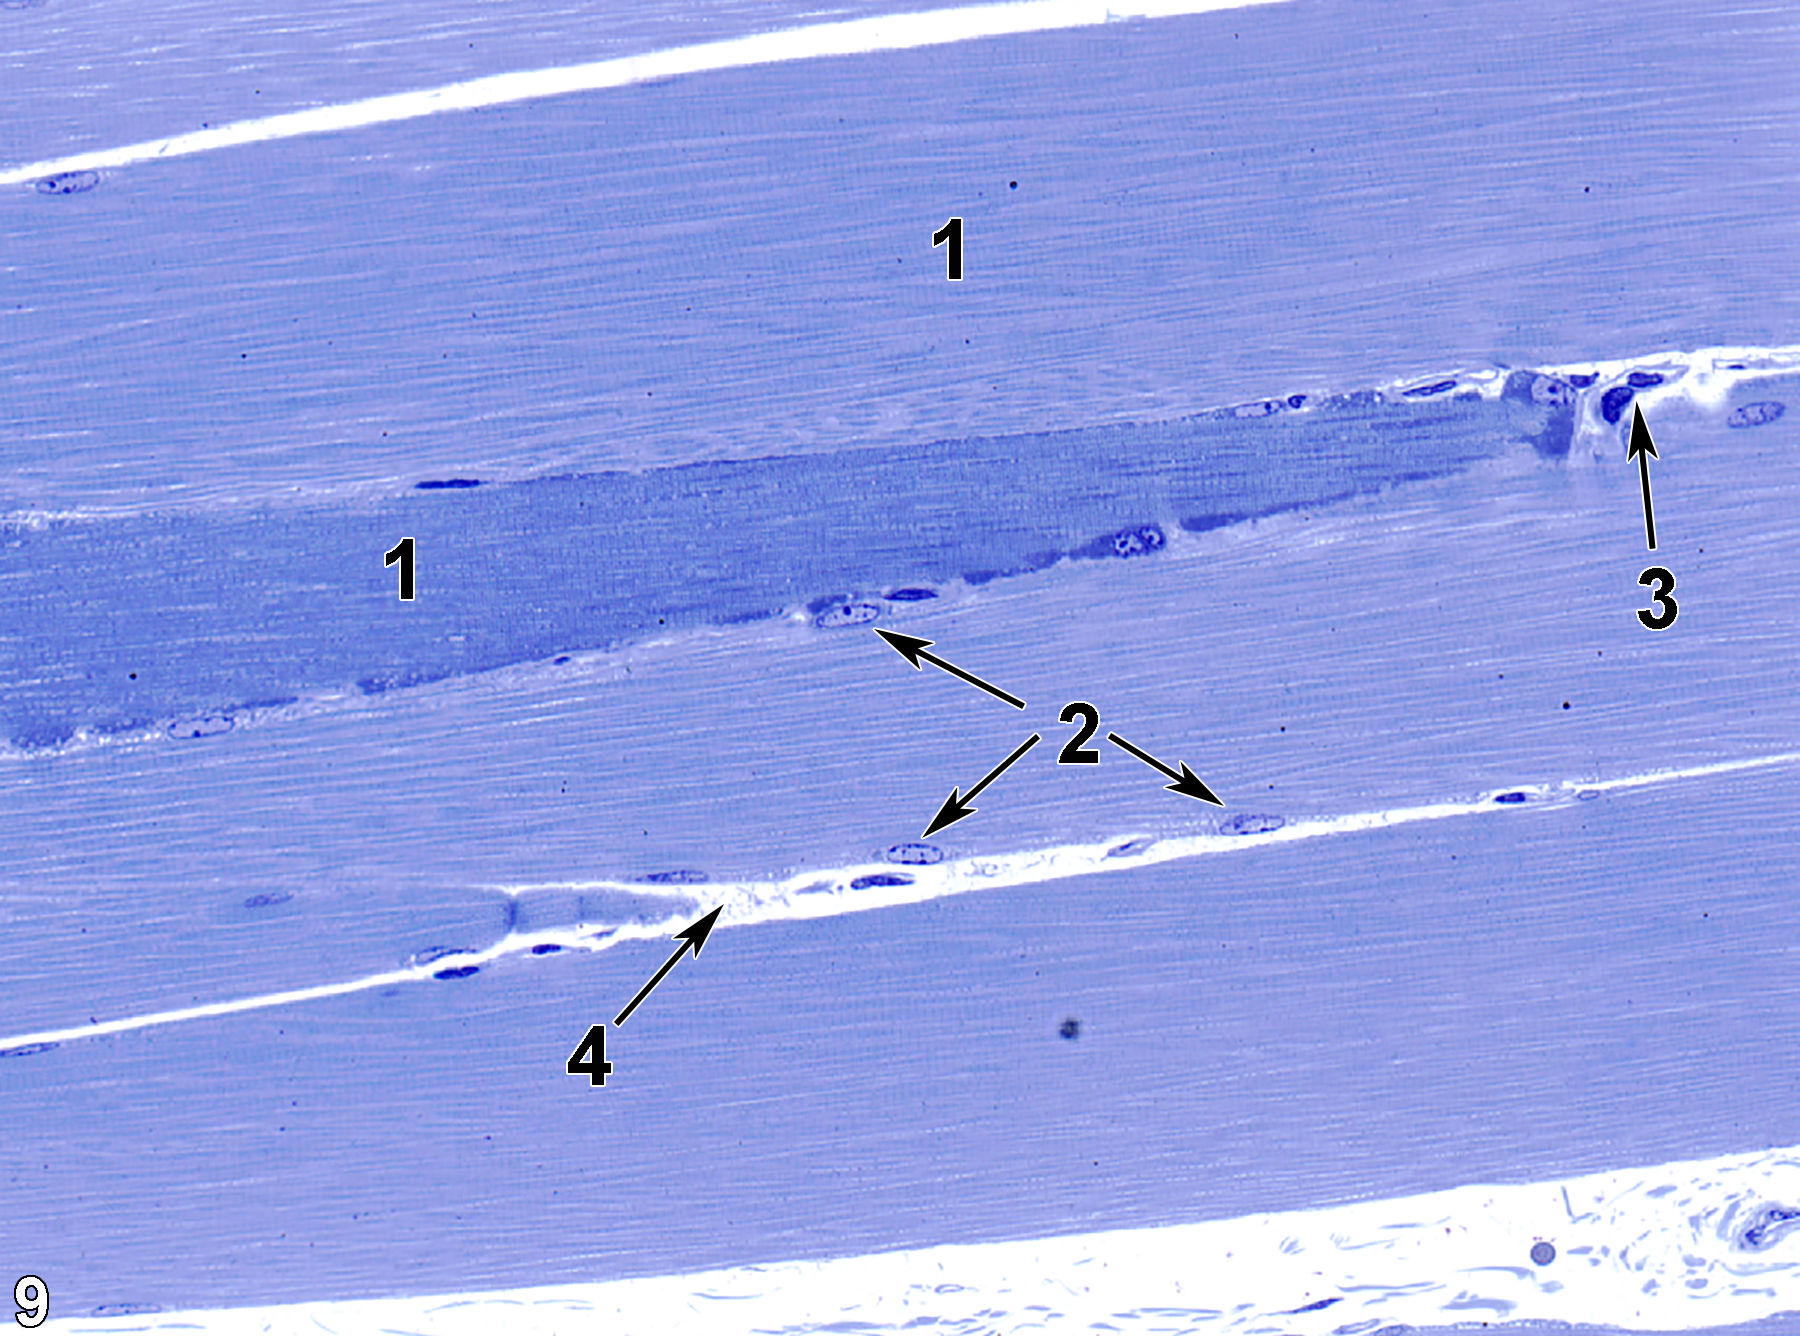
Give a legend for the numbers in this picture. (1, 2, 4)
1: skeletal muscle fiber
2: multiple peripheral elongate nuclei
4: endomysium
